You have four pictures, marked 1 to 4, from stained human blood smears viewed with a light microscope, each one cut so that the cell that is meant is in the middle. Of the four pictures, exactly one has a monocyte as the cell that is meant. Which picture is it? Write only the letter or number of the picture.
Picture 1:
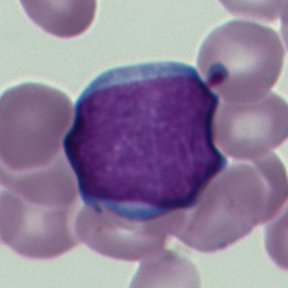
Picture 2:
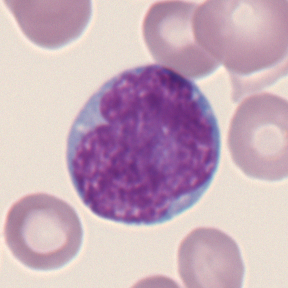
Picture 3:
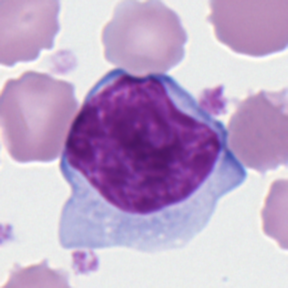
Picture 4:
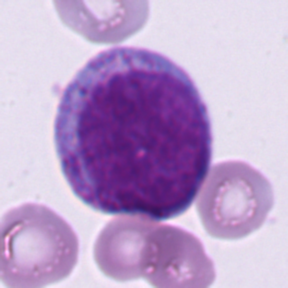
3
